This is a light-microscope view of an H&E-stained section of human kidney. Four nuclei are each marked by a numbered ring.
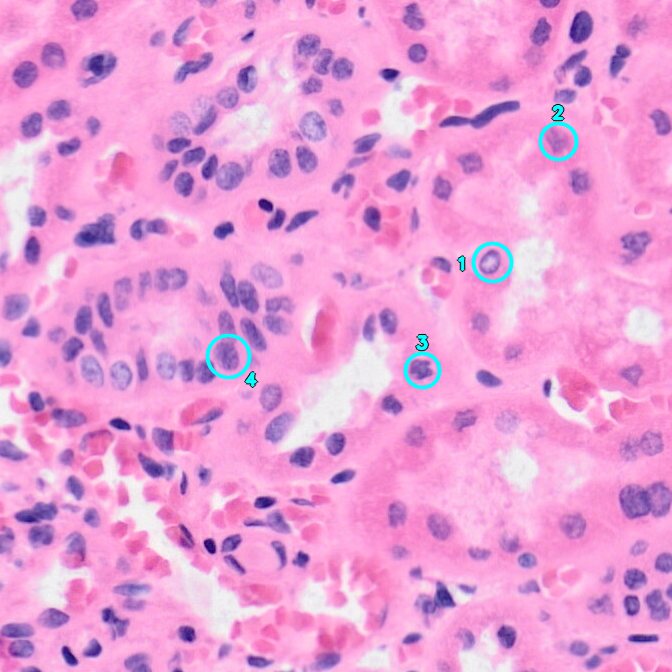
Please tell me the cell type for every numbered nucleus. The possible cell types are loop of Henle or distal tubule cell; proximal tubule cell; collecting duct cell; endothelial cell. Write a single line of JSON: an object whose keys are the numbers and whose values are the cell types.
{"1": "proximal tubule cell", "2": "proximal tubule cell", "3": "loop of Henle or distal tubule cell", "4": "collecting duct cell"}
